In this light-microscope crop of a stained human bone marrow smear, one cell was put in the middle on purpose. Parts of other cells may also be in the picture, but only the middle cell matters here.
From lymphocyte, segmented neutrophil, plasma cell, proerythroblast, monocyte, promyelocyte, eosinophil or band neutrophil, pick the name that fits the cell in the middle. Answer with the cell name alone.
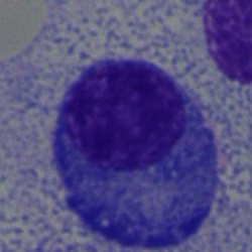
plasma cell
